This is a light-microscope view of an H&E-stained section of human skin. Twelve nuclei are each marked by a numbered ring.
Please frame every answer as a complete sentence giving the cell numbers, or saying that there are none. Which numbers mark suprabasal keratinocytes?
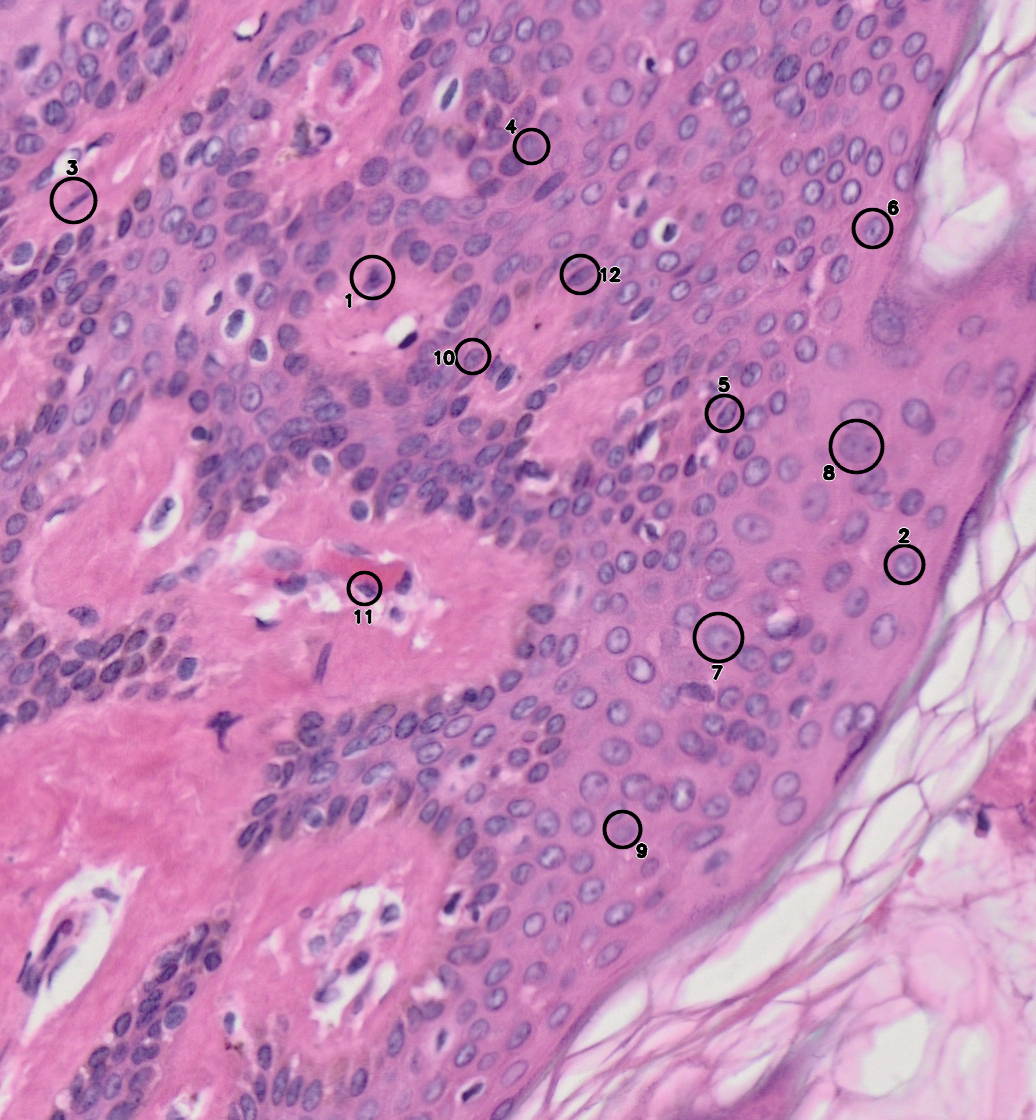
So, the cells with numbers 2, 6, 7, 8 and 9 are suprabasal keratinocytes.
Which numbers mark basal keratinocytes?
The cells numbered 4, 5, 10 and 12 are, by type, basal keratinocytes.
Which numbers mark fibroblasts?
Cells 1 and 3 are fibroblasts by cell type.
